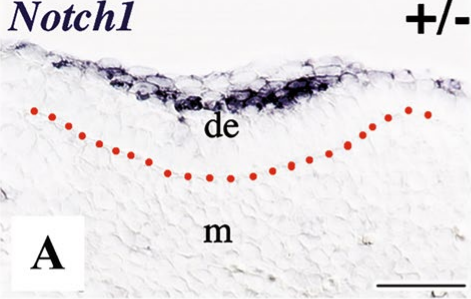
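Developing tooth area with a shallow thickening of the dental epithelium above loose mesenchyme. Dark purple stain lies in the epithelial cells of the upper layers of the thickening, and the stain is weaker toward the dotted border. The mesenchyme below the dotted line is unstained, with loosely spaced cells.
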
